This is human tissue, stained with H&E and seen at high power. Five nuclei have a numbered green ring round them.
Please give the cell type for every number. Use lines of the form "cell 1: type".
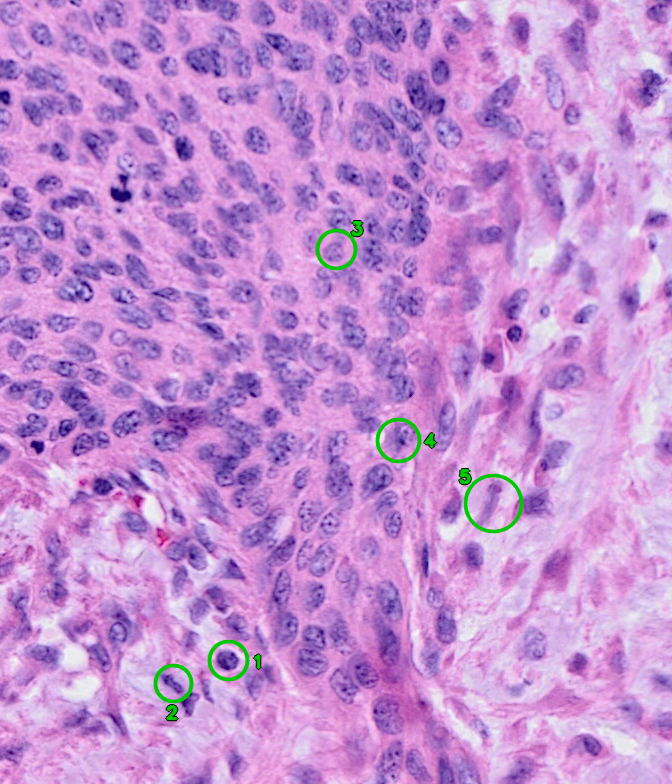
cell 1: lymphocyte
cell 2: fibroblast
cell 3: squamous carcinoma cell
cell 4: squamous carcinoma cell
cell 5: fibroblast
